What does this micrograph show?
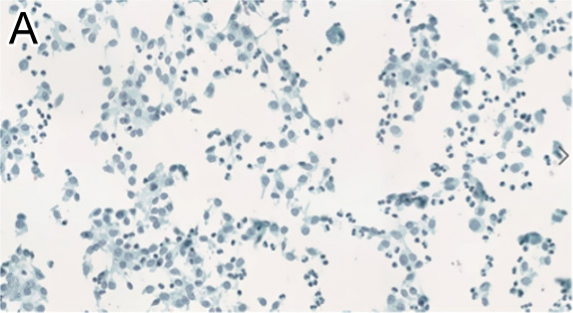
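This cytology smear shows discohesive epithelioid cells lying singly and in loose clusters, with oval to bean-shaped nuclei and a moderate amount of pale cytoplasm. Smaller cells with round, dark nuclei are scattered in the background between them.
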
